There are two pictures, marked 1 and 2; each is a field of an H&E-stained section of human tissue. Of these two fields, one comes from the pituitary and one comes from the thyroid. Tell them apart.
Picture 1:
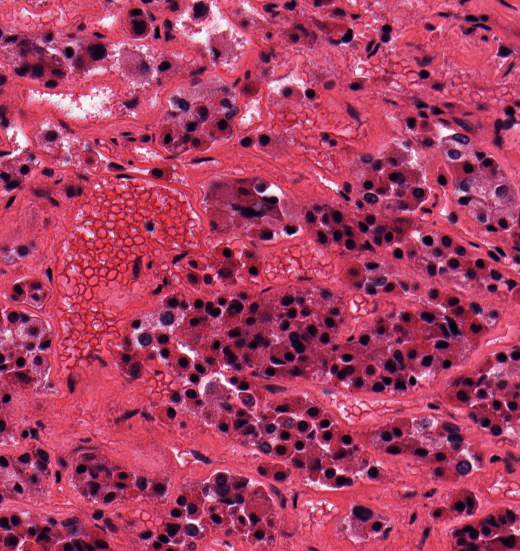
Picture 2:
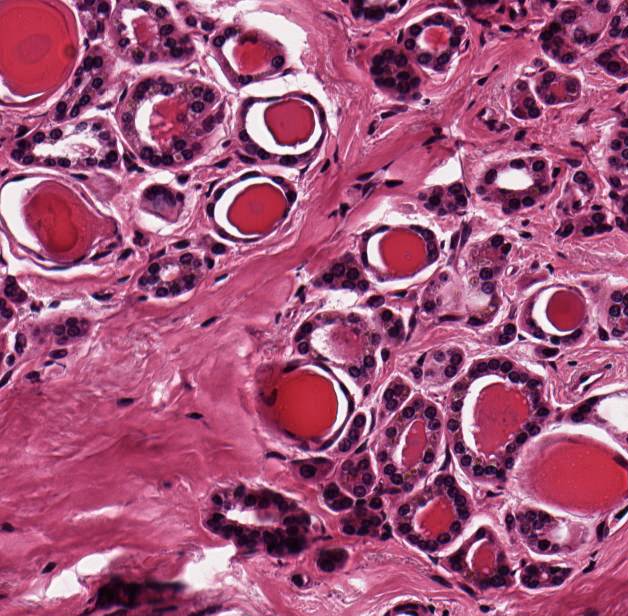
1: pituitary
2: thyroid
